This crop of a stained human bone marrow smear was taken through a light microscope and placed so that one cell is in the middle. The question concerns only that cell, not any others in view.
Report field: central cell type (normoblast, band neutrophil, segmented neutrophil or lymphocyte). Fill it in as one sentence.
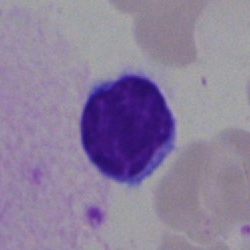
In the centre of this crop there is a lymphocyte.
